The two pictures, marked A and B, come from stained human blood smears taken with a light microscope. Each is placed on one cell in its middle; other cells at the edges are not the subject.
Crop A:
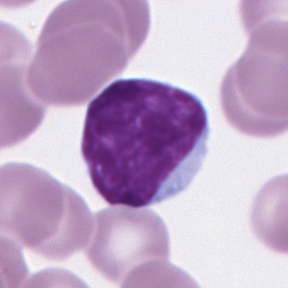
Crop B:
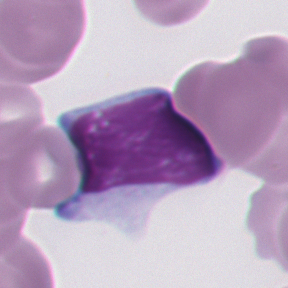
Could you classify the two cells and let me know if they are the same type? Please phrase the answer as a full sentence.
Yes, the same answer goes for both crops, namely lymphocytes.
